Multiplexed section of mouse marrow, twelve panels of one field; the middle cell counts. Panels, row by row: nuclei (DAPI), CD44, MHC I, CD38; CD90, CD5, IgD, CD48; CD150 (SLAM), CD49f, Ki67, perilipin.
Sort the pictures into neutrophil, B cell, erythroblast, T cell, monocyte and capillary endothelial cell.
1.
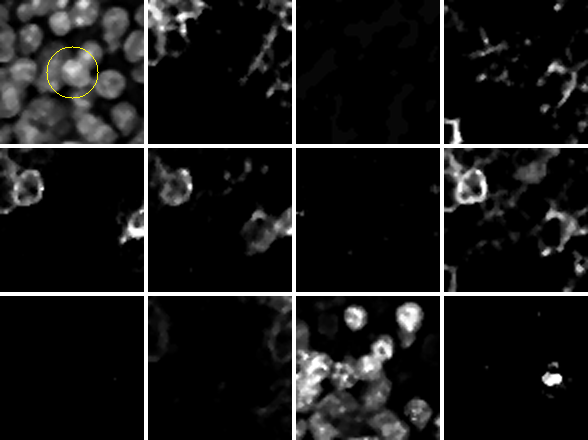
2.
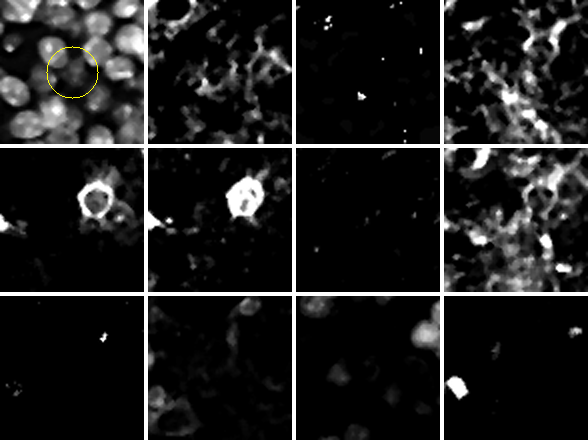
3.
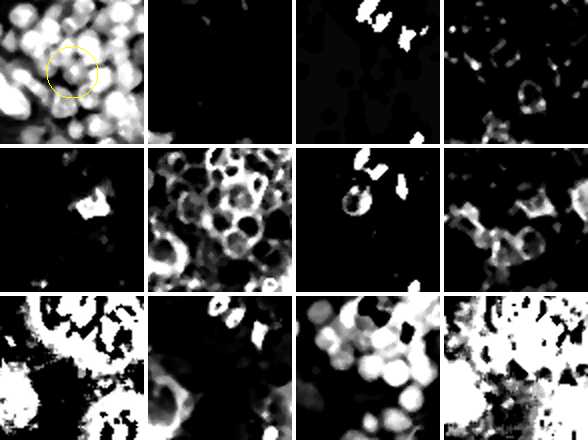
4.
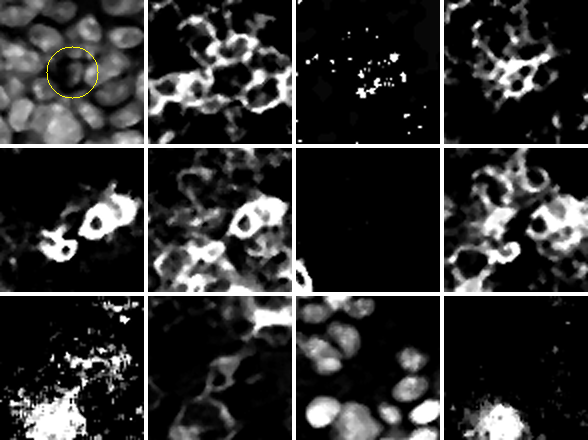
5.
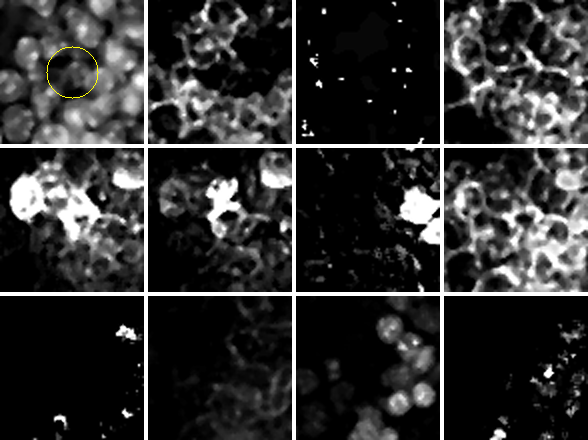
Erythroblasts: 1
Capillary endothelial cells: 2, 4
B cells: 3
T cells: 5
